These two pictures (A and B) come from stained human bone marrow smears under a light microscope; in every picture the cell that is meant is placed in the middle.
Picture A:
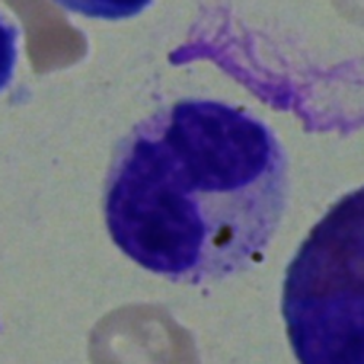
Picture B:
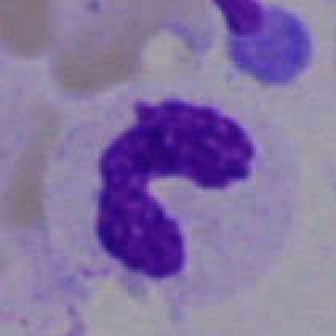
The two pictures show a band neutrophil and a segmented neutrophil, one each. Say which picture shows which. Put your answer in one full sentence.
The cell in picture A is a band neutrophil, and the one in picture B is a segmented neutrophil.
